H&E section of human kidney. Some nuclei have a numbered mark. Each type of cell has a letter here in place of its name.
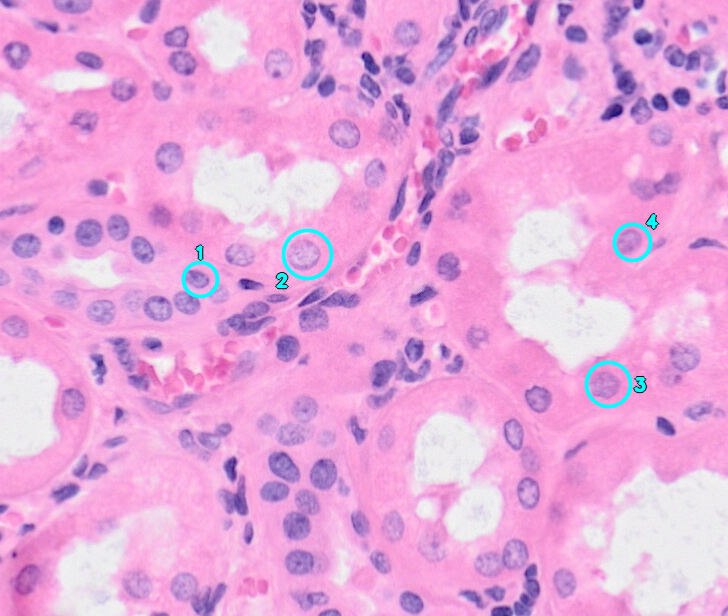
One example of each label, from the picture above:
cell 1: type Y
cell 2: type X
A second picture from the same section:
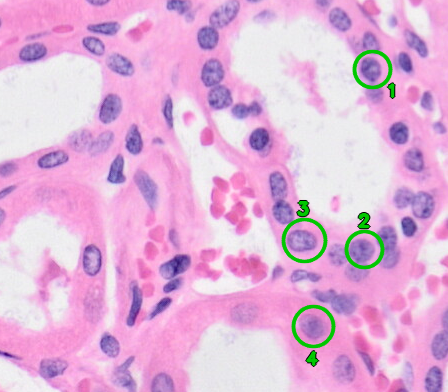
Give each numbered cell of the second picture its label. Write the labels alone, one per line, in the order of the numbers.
type Y
type Y
type Y
type X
